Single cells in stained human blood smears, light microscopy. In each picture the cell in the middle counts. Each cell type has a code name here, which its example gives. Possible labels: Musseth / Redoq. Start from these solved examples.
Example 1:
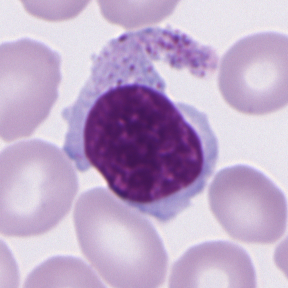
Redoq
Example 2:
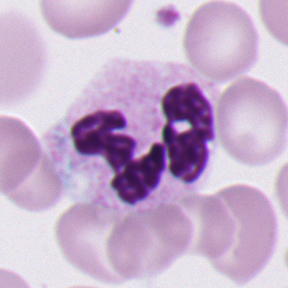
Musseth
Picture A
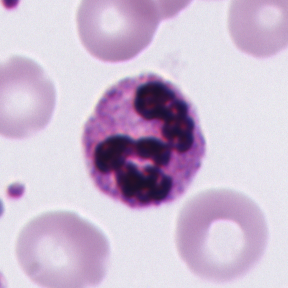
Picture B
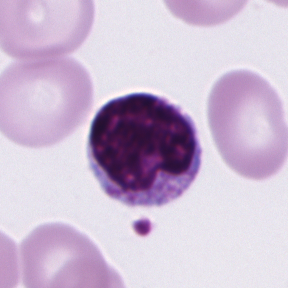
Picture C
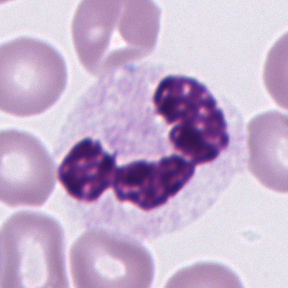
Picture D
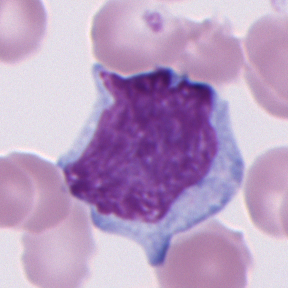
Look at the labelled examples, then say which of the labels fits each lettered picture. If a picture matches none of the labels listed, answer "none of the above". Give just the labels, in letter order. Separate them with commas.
Musseth, Redoq, Musseth, none of the above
